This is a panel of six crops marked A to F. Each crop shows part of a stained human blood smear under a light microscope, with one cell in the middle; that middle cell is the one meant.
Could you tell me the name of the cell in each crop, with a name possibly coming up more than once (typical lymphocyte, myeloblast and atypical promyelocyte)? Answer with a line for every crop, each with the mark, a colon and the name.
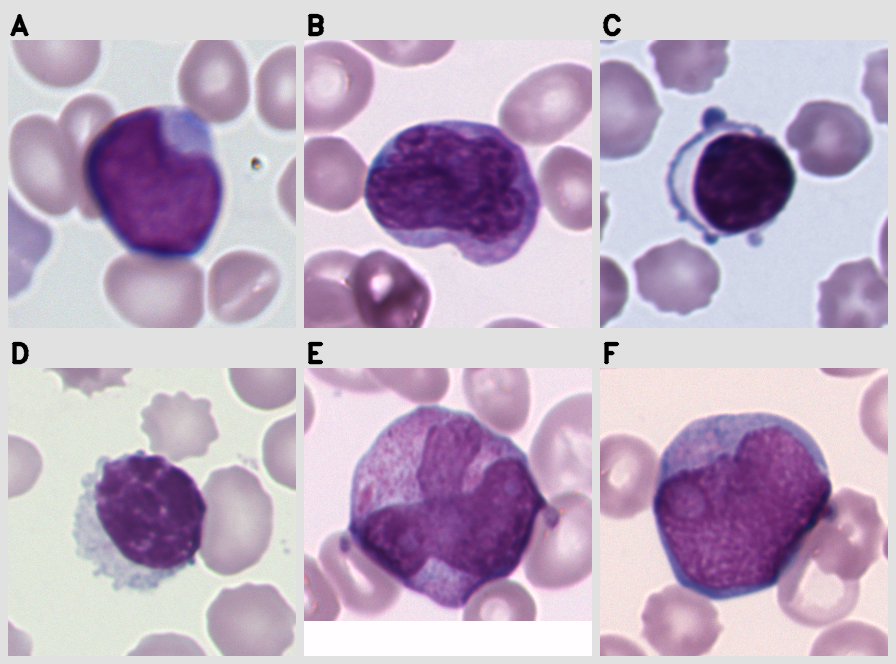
A: myeloblast
B: atypical promyelocyte
C: typical lymphocyte
D: typical lymphocyte
E: atypical promyelocyte
F: myeloblast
